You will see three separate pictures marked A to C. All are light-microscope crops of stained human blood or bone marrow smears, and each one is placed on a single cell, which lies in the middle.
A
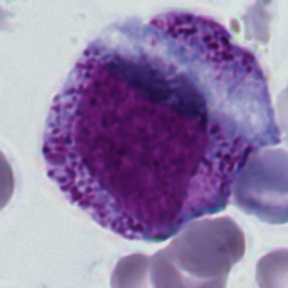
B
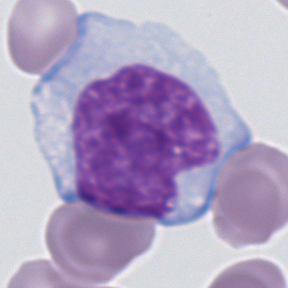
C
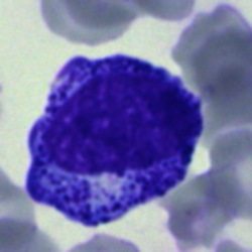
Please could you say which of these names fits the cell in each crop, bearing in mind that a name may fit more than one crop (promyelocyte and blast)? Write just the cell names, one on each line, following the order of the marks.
promyelocyte
blast
promyelocyte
